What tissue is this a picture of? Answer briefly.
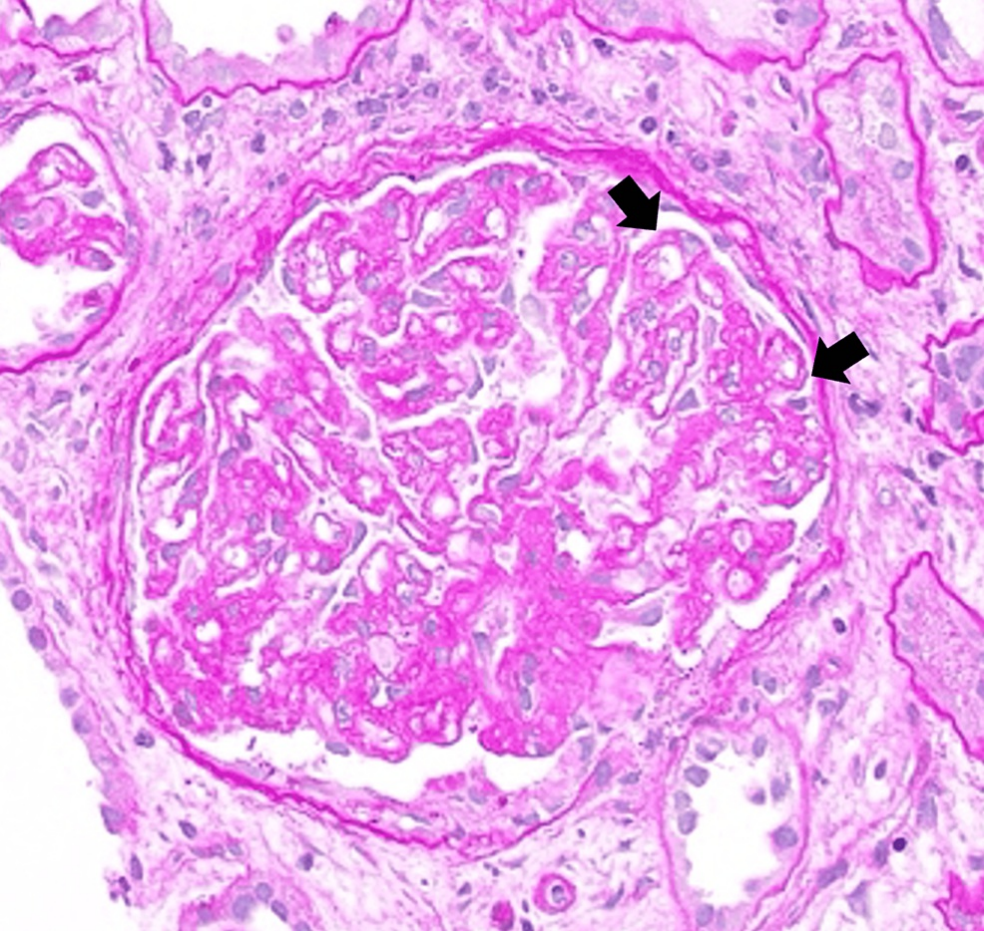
Glomerulus.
